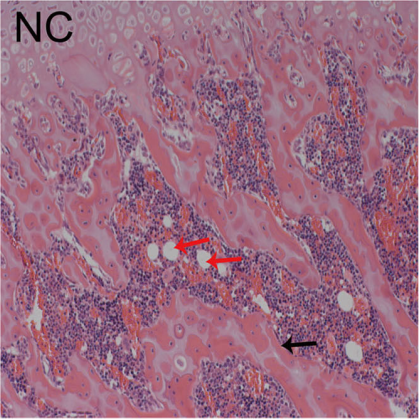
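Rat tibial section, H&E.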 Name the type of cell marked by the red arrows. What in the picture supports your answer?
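Small round clear spaces lie within the purple marrow between pink trabeculae. The answer: adipocytes.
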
